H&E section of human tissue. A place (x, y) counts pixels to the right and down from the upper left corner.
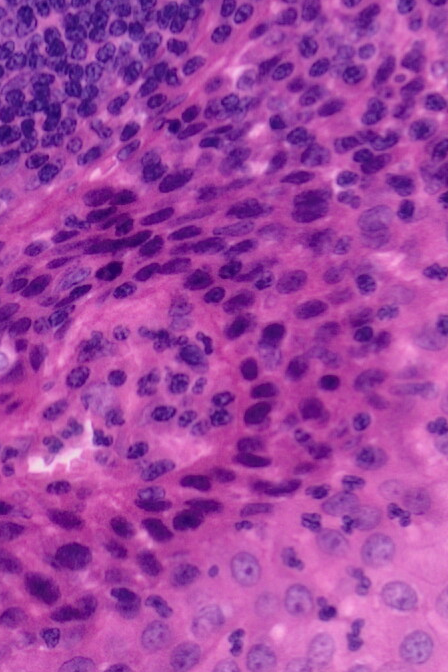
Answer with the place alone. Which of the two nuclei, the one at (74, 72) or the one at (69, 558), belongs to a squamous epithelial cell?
(69, 558)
